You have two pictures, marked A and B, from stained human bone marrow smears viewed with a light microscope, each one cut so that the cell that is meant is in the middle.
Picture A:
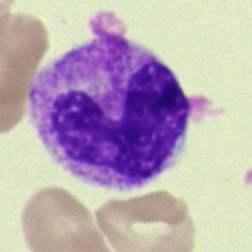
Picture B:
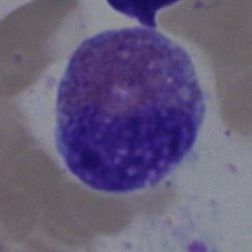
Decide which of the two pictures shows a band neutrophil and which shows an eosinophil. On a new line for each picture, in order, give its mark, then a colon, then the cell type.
A: band neutrophil
B: eosinophil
